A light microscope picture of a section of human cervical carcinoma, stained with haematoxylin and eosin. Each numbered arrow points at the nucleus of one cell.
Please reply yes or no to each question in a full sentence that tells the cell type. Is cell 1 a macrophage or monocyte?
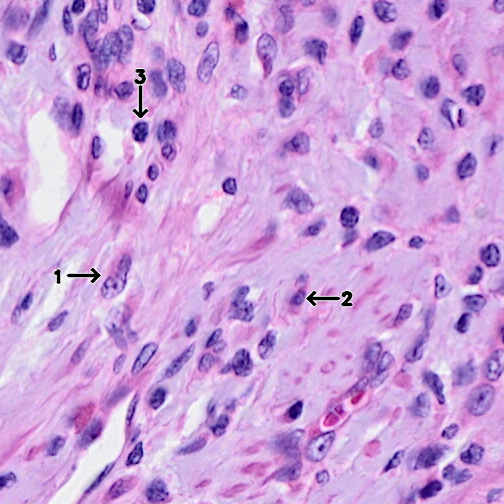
Yes, for number 1, the cell is a macrophage or monocyte.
